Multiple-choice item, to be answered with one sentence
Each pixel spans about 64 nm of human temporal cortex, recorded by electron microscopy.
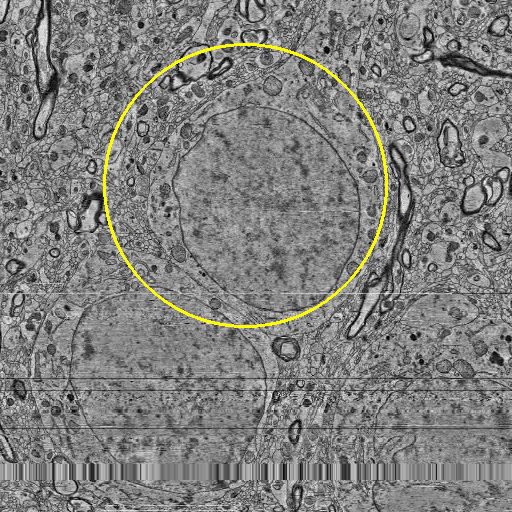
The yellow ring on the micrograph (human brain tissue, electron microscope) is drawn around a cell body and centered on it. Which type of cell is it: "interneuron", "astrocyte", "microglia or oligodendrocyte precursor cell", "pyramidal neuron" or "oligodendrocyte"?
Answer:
The ring is centered on a pyramidal neuron.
